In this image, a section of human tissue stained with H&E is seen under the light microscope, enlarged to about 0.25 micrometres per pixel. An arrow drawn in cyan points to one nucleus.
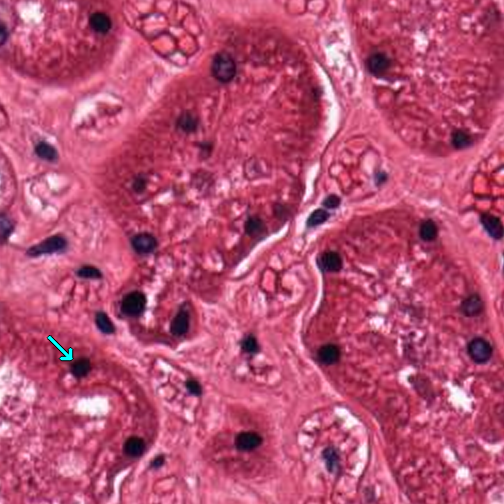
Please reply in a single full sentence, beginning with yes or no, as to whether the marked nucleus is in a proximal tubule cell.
Yes, here the marked nucleus belongs to a proximal tubule cell.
